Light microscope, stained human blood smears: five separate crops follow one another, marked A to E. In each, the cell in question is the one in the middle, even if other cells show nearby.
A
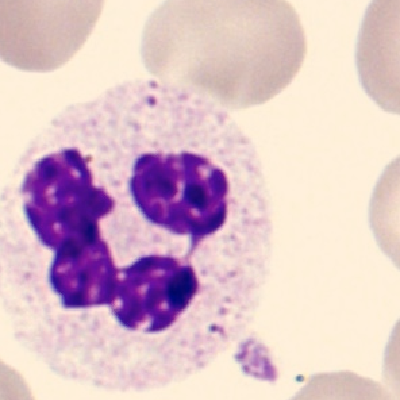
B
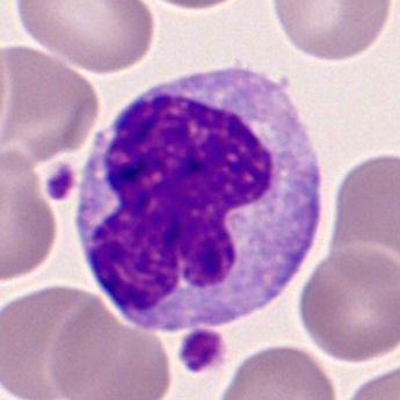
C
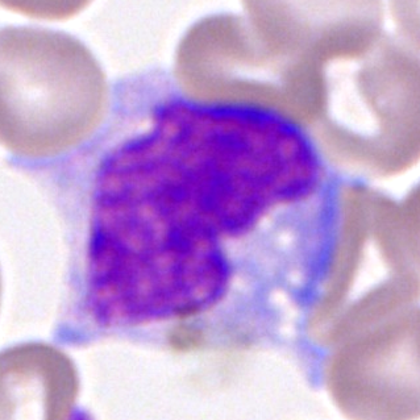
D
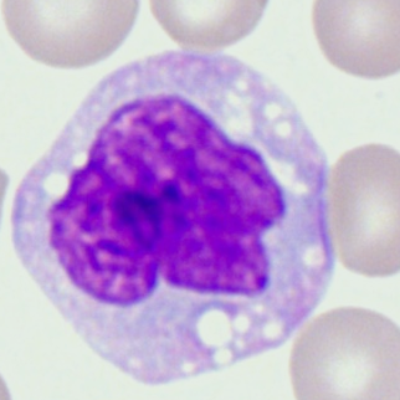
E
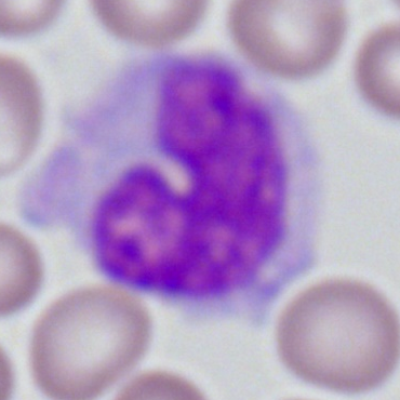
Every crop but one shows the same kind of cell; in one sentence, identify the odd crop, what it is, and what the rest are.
All of the other crops show monocytes, while crop A shows a segmented neutrophil instead.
